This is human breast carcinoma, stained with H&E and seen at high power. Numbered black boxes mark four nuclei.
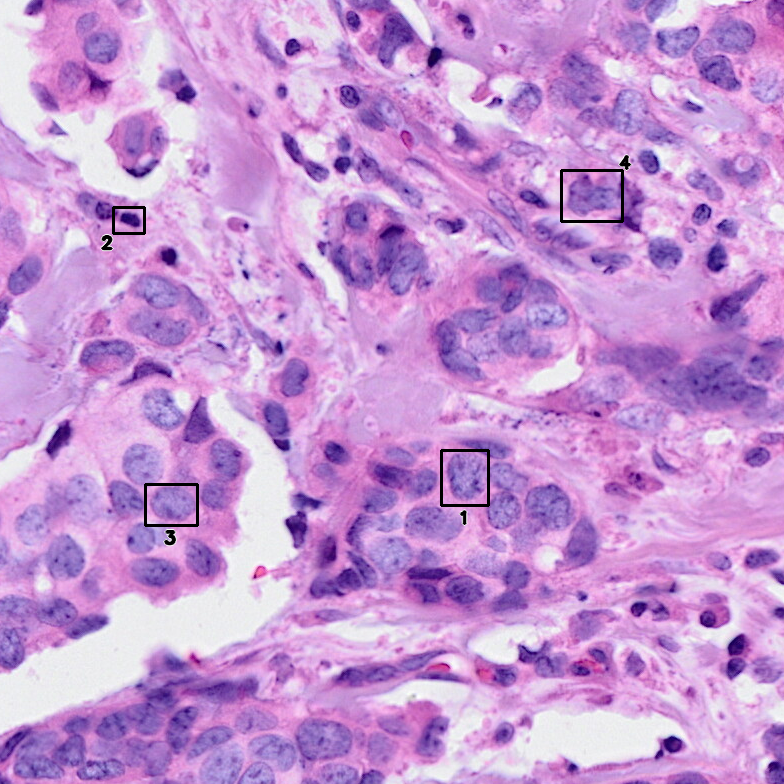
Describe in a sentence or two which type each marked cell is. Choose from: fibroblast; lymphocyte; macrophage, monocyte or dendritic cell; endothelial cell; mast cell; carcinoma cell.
Cell 1 is a carcinoma cell, cell 2 is a lymphocyte, cell 3 is a carcinoma cell and cell 4 is a carcinoma cell.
